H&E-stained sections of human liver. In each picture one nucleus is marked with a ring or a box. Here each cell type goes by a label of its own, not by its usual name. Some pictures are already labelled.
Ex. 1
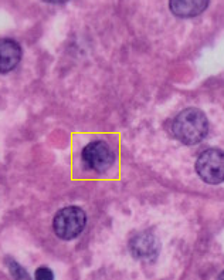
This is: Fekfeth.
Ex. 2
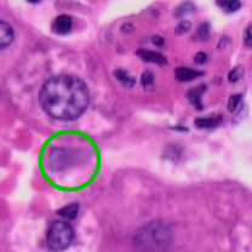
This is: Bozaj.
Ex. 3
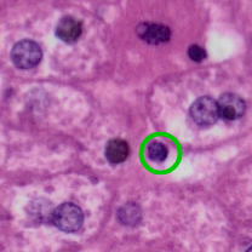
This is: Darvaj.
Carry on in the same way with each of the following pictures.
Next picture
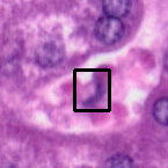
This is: Bozaj.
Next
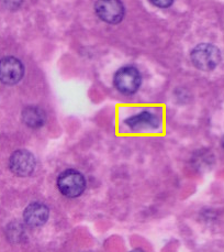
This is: Fekfeth.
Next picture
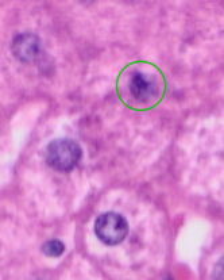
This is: Fekfeth.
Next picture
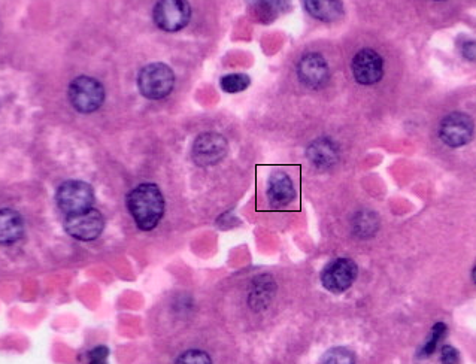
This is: Bozaj.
